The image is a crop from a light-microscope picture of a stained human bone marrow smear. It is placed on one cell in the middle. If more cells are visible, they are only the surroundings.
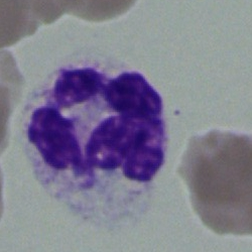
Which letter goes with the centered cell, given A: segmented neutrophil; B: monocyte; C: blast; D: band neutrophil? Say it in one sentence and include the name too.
The central cell in this crop is a segmented neutrophil, so the correct choice is option A.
